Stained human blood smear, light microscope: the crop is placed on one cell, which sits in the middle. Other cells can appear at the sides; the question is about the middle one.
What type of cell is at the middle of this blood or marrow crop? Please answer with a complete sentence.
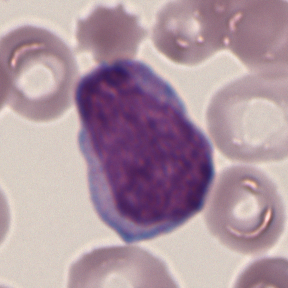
At the middle of the frame sits an atypical promyelocyte.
